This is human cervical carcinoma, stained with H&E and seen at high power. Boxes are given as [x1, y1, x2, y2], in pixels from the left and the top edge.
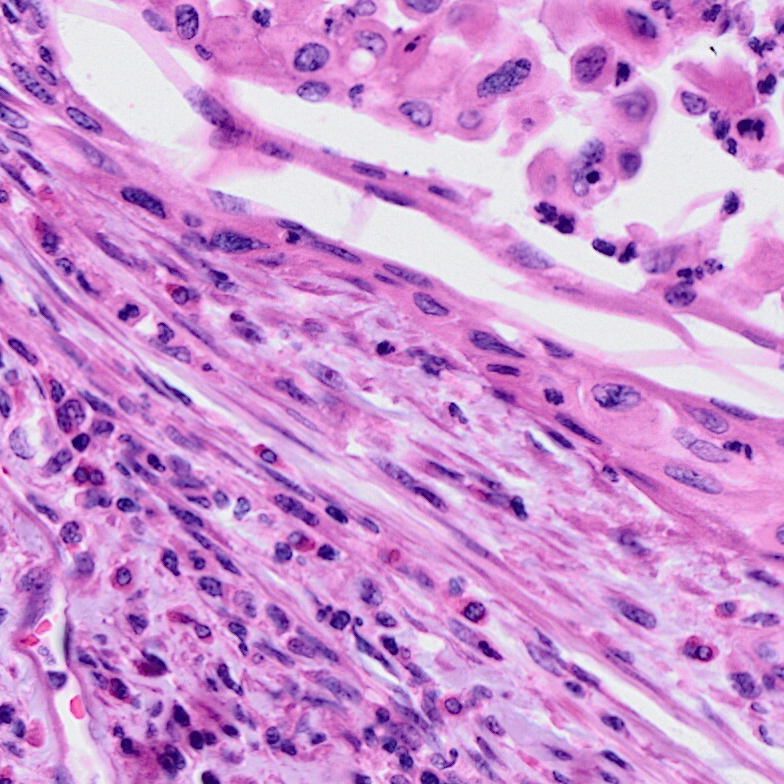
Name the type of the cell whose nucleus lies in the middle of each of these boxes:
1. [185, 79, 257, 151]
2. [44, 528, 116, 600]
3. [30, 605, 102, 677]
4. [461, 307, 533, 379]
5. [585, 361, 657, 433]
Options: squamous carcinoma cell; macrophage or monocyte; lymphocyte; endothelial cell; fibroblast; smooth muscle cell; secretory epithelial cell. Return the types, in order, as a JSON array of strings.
["squamous carcinoma cell", "endothelial cell", "endothelial cell", "squamous carcinoma cell", "squamous carcinoma cell"]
